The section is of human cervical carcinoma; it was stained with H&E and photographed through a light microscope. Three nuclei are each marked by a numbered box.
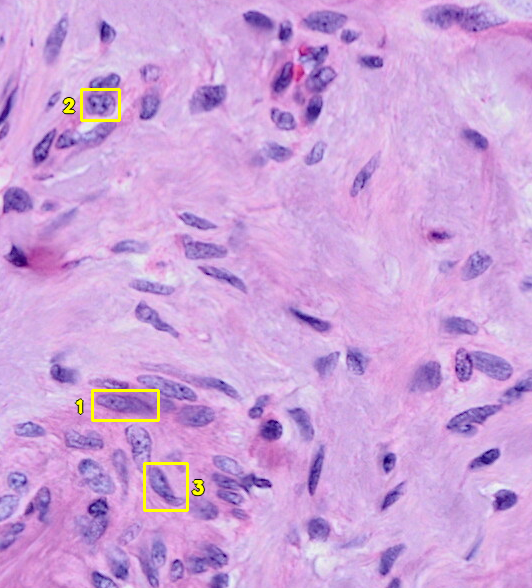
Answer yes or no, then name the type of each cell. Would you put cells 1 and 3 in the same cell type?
Yes, cells 1 and 3 are both identified as smooth muscle cells.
